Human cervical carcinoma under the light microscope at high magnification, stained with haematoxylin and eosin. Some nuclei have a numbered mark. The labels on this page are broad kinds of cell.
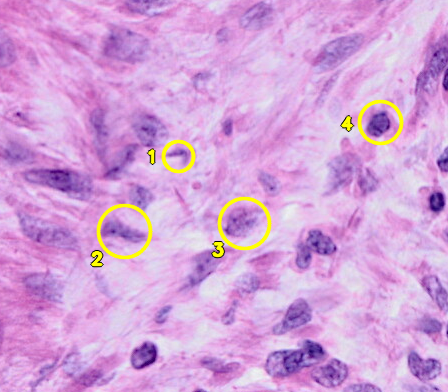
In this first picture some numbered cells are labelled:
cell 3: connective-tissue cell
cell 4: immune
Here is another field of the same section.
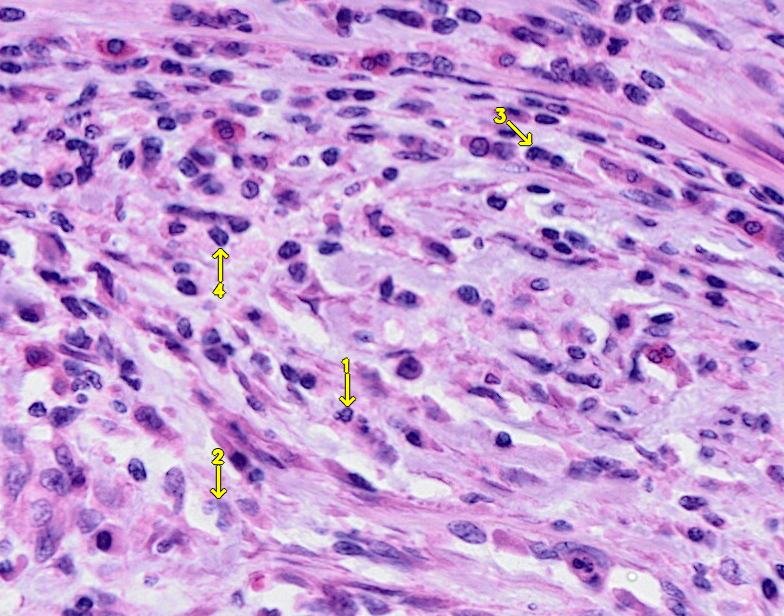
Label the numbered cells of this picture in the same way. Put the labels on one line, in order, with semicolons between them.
immune; connective-tissue cell; immune; immune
